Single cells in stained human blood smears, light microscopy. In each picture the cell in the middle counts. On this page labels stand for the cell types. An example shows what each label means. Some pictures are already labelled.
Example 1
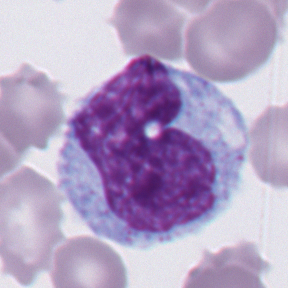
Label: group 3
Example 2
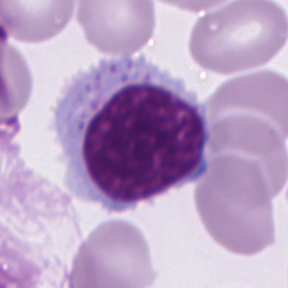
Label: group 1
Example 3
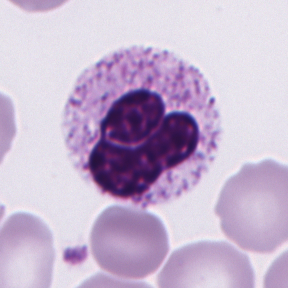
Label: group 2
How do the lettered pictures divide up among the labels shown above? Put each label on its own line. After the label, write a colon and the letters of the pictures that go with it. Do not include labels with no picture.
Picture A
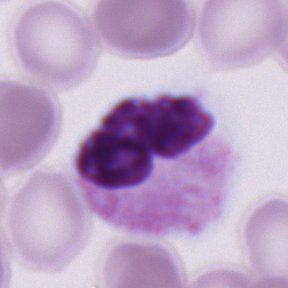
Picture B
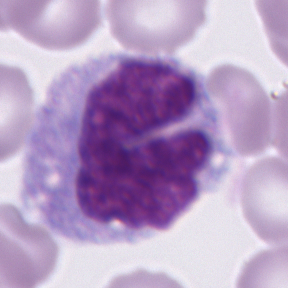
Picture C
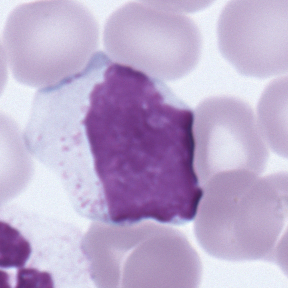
group 3: B
group 1: C
group 2: A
